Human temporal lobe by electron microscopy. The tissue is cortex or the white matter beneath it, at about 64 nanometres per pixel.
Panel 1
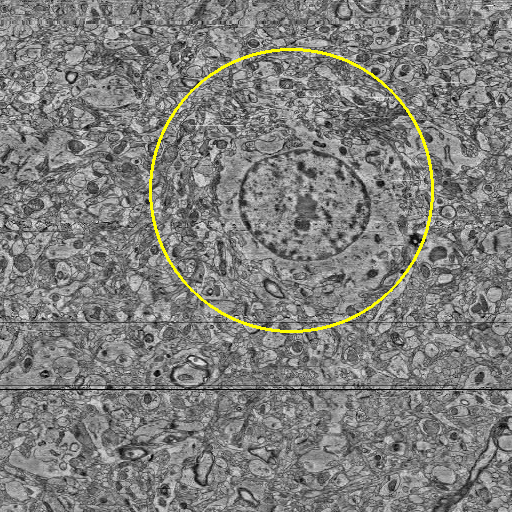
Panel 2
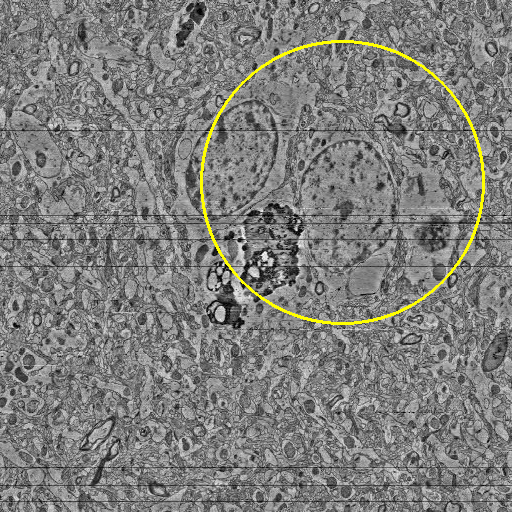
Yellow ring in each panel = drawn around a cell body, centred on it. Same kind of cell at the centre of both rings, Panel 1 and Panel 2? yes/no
yes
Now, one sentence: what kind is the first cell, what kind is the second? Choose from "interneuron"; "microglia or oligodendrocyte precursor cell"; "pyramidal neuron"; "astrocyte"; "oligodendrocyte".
The second cell is an astrocyte, just as the first is.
